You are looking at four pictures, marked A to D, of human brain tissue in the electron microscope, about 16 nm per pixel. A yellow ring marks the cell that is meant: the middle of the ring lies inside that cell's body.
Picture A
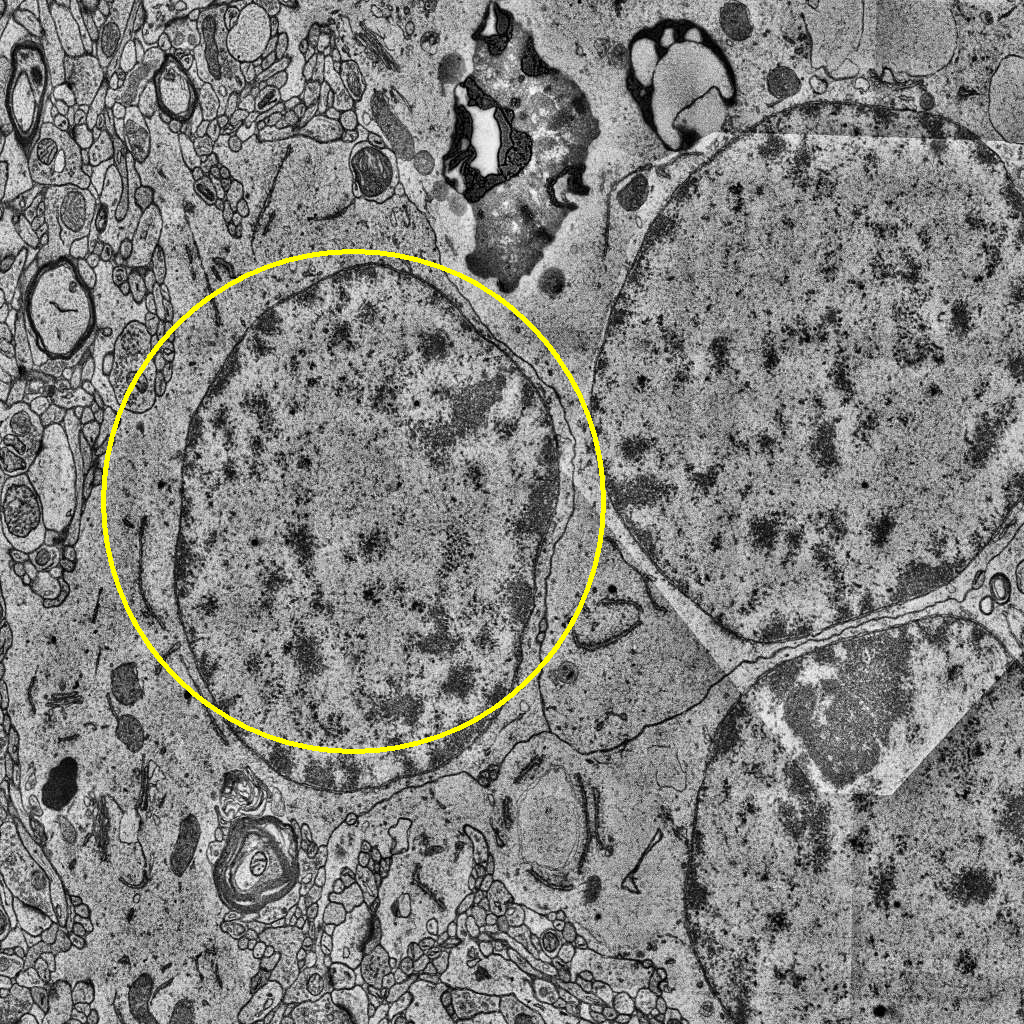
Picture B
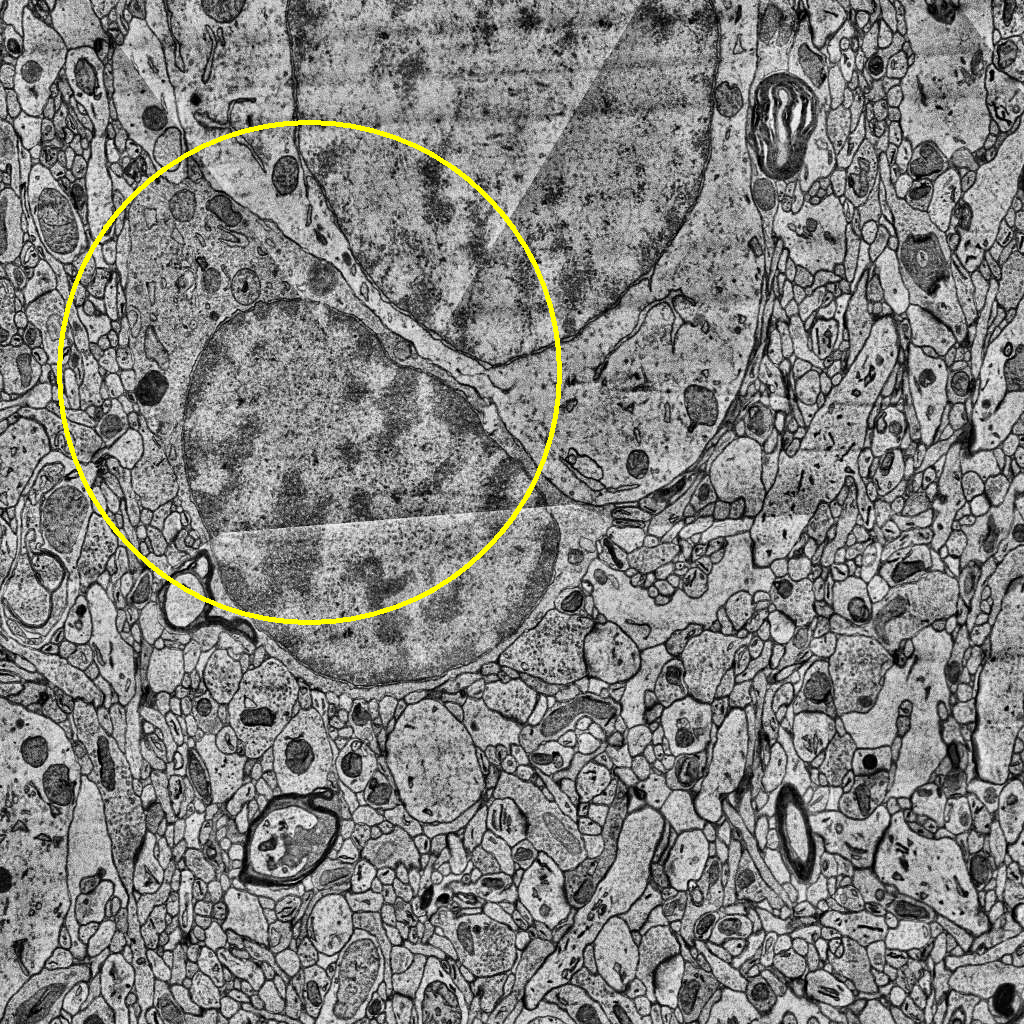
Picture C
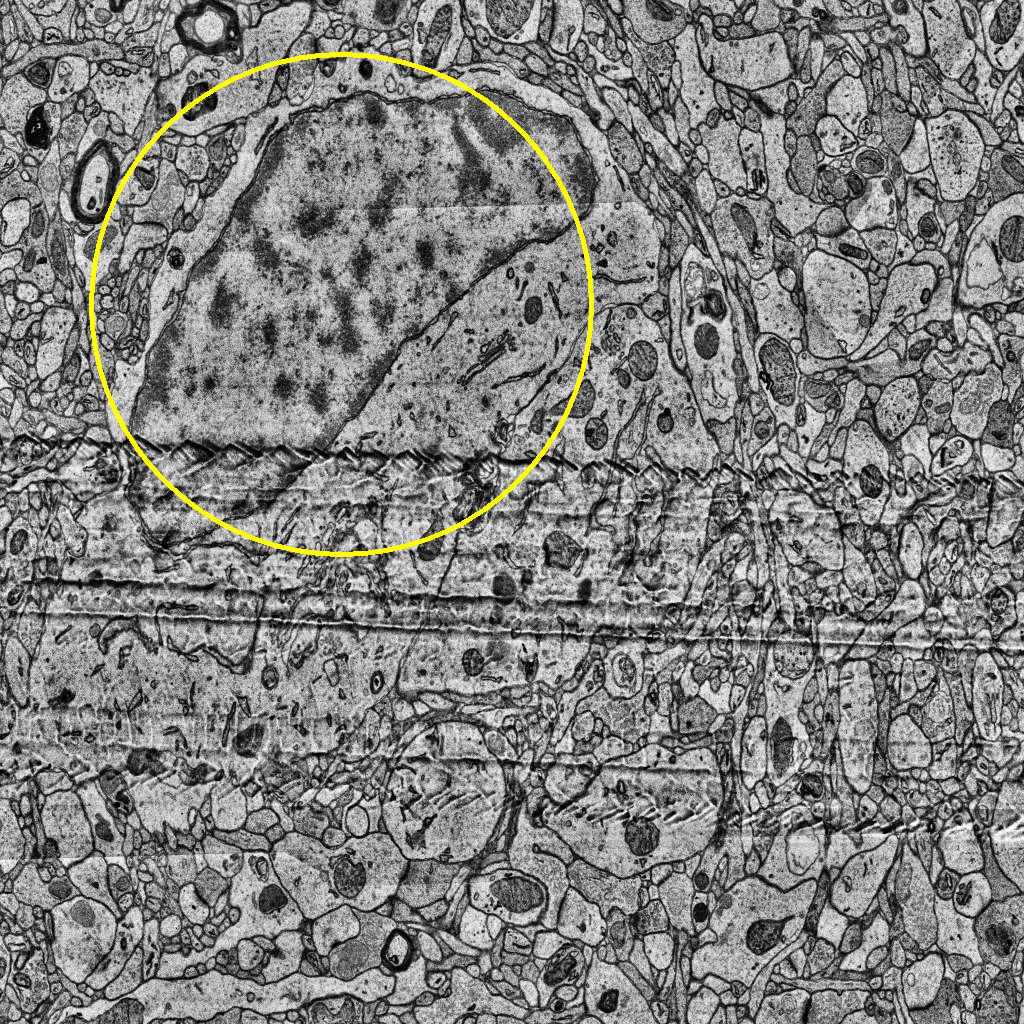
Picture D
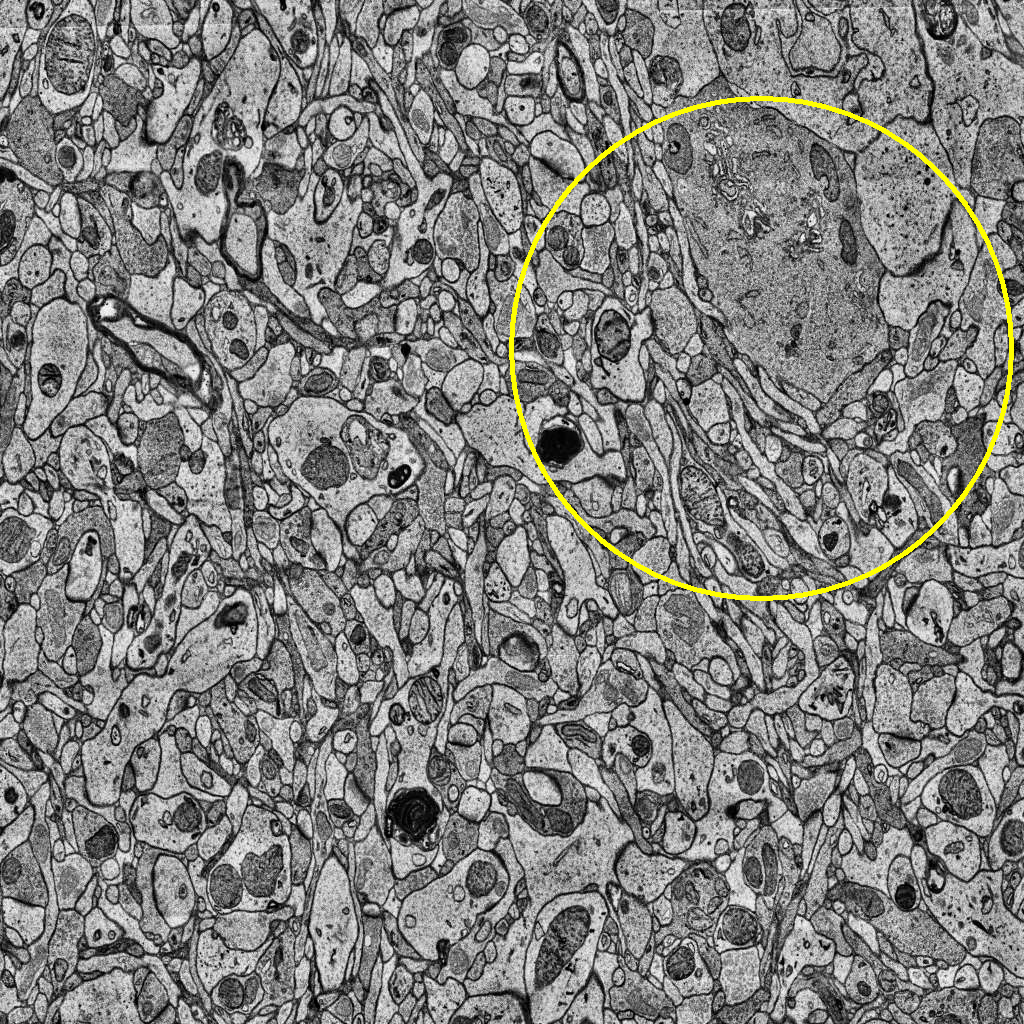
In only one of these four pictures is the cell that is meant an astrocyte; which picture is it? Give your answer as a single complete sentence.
Picture A is the one that shows the astrocyte.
